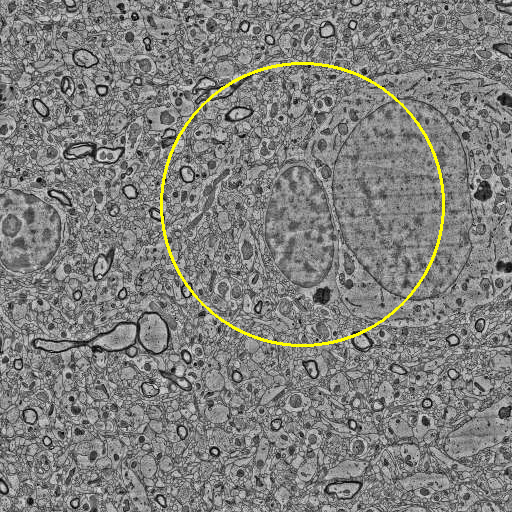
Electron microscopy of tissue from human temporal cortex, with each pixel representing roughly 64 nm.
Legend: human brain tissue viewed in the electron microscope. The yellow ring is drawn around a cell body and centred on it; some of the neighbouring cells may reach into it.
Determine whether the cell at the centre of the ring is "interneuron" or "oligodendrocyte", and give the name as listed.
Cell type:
oligodendrocyte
